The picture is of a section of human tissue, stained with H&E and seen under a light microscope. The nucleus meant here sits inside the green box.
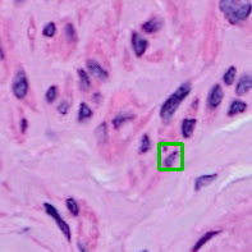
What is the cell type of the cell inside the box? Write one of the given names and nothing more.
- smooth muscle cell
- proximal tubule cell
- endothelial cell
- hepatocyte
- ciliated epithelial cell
smooth muscle cell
